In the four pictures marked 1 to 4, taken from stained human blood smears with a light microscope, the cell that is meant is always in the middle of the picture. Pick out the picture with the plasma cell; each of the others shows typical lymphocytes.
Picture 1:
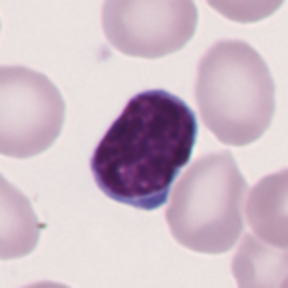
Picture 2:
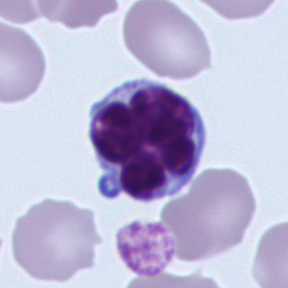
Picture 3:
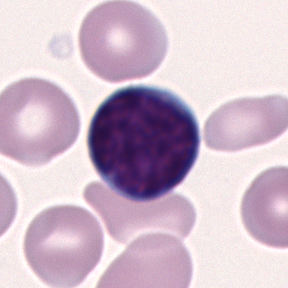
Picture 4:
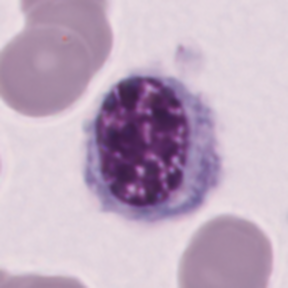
4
